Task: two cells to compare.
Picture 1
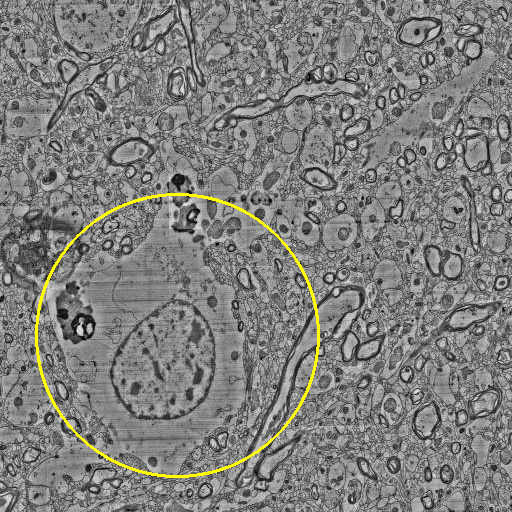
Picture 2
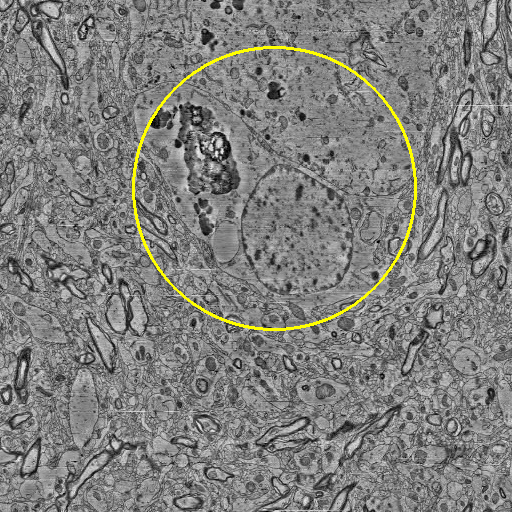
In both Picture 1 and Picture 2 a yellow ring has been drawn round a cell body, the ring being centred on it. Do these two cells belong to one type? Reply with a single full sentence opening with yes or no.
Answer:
Yes, the two cells at the ring centres in Picture 1 and Picture 2 share one type.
